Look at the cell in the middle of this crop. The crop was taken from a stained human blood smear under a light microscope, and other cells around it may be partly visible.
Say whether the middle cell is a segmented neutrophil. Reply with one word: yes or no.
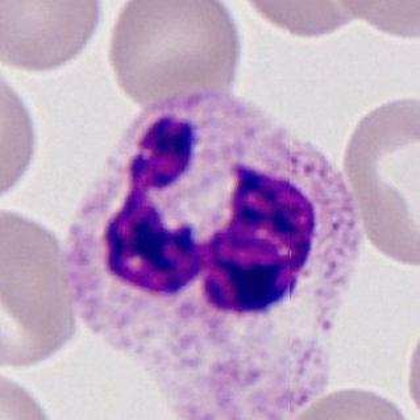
yes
